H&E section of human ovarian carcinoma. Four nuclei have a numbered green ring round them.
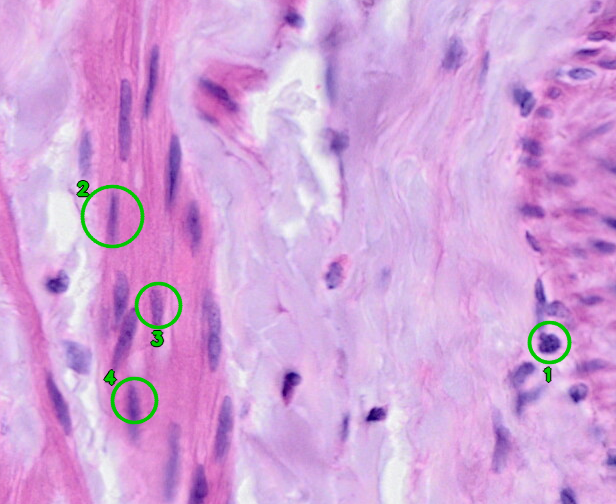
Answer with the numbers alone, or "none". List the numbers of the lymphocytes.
1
